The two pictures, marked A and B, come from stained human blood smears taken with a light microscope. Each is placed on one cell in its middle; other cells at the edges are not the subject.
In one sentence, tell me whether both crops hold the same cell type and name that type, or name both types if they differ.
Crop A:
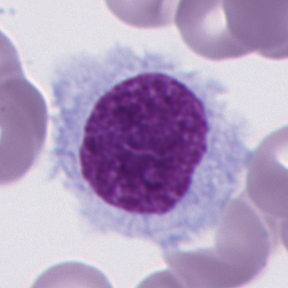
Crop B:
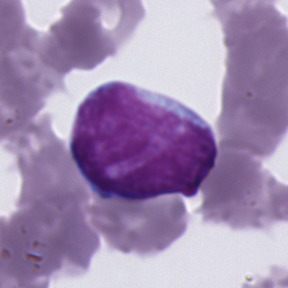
No, a hairy cell occupies the middle of crop A, and a myeloblast the middle of crop B.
